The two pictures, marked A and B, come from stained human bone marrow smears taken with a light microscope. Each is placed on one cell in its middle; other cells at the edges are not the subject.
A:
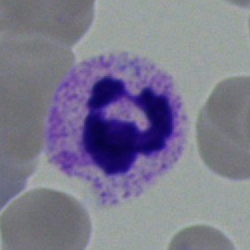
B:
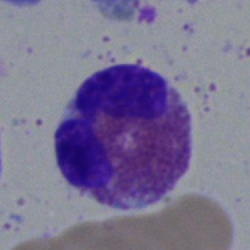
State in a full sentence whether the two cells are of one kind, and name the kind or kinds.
No, in crop A there is a segmented neutrophil, and in crop B there is an eosinophil.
